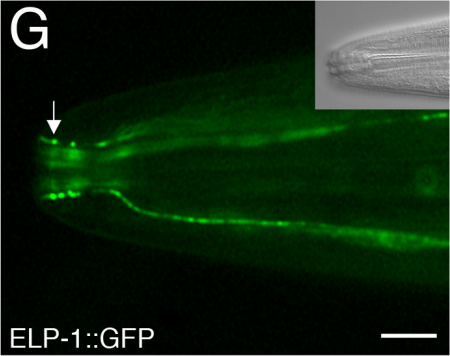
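This is the head of a nematode, with fluorescent sensory neuron processes running to the nose. Two beaded green lines, one along the upper and one along the lower side, run forward through the tapering head toward the tip. At the very front, small bright dots gather where these processes end at the anterior tip of the head. Faint diffuse green fills the rest of the head. The inset's transmitted-light image shows the tapered outline of the head for orientation.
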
